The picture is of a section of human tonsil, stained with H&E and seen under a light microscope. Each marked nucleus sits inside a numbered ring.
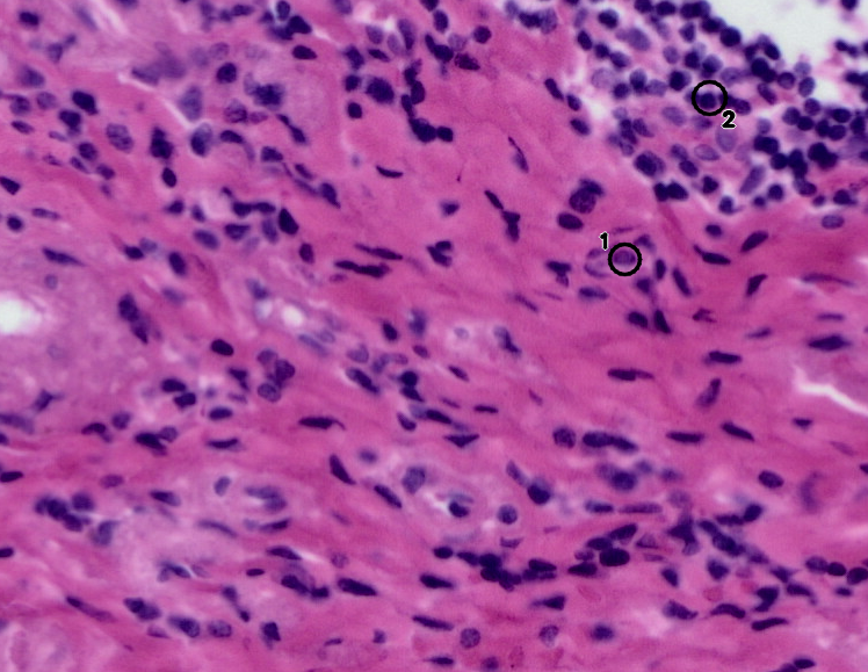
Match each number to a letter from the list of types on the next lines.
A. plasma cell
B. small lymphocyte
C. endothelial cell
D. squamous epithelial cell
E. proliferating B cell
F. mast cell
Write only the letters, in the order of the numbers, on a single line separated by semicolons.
C; B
